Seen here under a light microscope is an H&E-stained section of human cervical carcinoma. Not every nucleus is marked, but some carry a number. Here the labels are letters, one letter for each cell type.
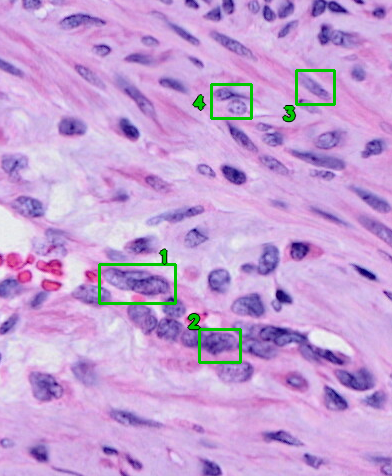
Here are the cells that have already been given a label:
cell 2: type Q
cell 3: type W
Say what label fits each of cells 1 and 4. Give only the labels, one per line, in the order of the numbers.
type Q
type W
